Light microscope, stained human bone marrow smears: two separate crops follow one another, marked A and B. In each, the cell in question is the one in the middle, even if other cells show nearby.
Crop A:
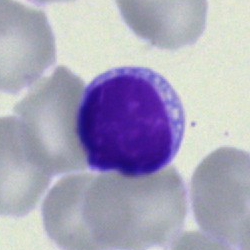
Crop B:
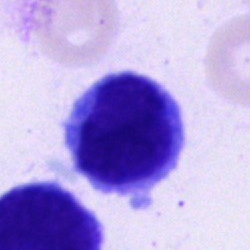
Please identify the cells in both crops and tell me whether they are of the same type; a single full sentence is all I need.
No, whereas crop A shows a lymphocyte, crop B shows a monocyte.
